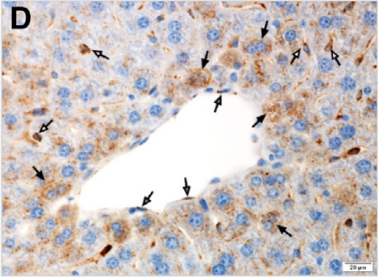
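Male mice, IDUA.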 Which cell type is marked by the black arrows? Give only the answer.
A: Hepatocytes.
